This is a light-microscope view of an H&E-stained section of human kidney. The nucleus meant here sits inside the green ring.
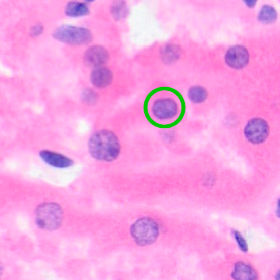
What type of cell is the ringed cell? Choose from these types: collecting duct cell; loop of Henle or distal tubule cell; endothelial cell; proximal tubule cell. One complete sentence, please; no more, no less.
As for its identity, the ringed cell is a proximal tubule cell.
